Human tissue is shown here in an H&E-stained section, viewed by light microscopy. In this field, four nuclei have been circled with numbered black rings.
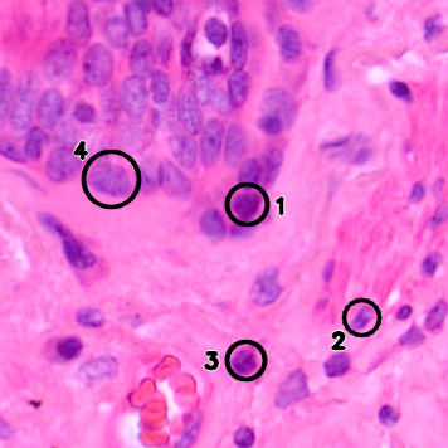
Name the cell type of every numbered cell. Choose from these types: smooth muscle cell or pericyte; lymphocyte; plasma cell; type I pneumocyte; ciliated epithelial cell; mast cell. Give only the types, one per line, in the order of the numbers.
plasma cell
smooth muscle cell or pericyte
plasma cell
ciliated epithelial cell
